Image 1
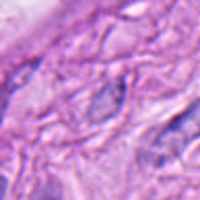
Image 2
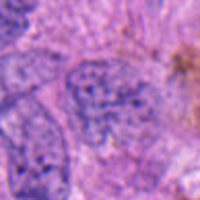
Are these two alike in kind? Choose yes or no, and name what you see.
Yes. Vascular myocytes.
